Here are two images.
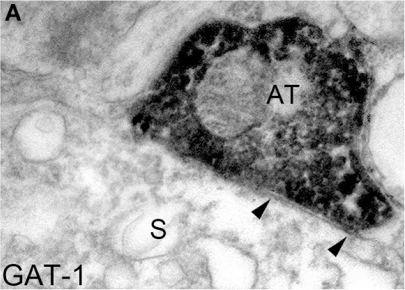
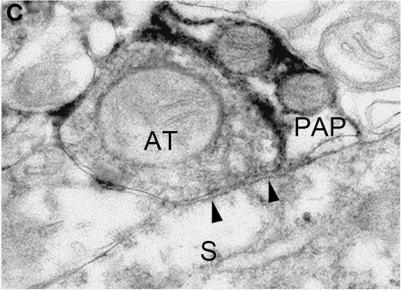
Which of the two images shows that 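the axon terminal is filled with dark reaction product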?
The first image.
